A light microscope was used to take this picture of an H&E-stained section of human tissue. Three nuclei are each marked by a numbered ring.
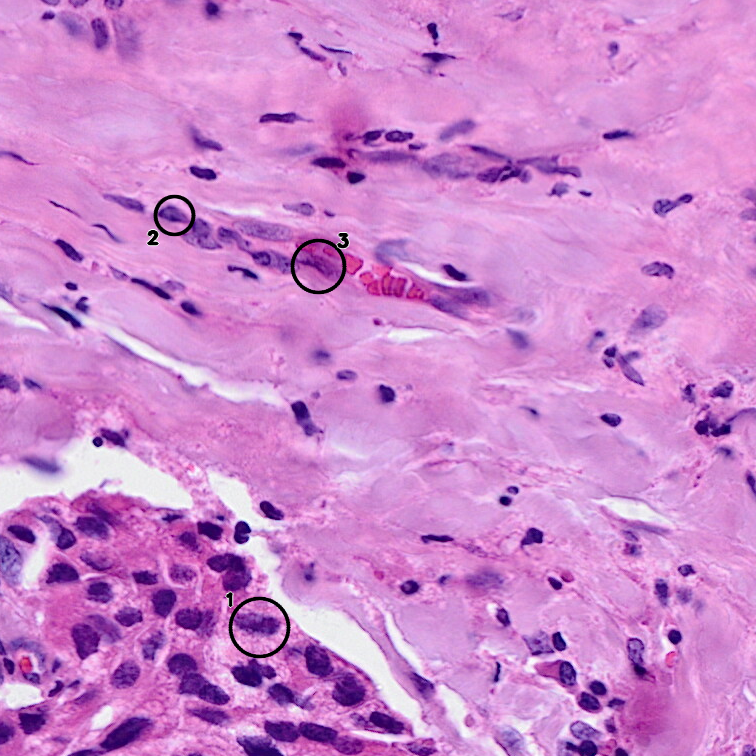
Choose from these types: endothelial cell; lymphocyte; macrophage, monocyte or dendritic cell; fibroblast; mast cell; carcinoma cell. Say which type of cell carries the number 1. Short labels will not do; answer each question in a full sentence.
Cell number 1 in this section is a carcinoma cell.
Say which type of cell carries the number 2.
As for number 2, that cell is a lymphocyte.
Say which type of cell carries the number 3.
Number 3 is placed on an endothelial cell here.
